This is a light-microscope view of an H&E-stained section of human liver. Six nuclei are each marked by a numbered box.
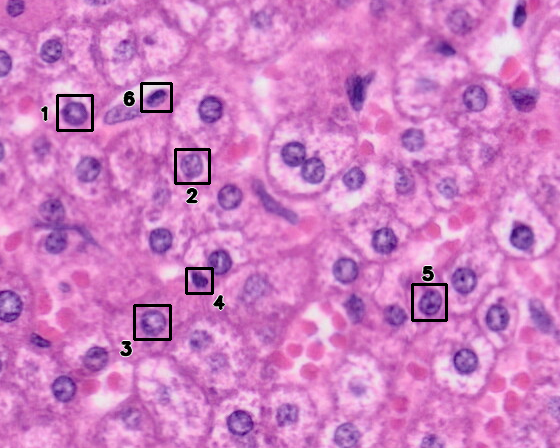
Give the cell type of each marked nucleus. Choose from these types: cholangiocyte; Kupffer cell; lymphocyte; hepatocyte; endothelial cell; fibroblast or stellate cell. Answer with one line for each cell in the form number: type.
1: hepatocyte
2: hepatocyte
3: hepatocyte
4: fibroblast or stellate cell
5: hepatocyte
6: lymphocyte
